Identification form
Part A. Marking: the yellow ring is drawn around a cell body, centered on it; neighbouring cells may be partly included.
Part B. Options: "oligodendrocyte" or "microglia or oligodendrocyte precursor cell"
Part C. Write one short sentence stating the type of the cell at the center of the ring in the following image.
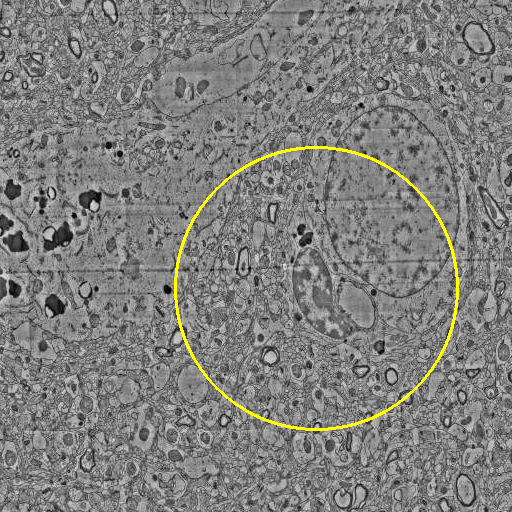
The center of the ring holds a microglial cell or oligodendrocyte precursor cell.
